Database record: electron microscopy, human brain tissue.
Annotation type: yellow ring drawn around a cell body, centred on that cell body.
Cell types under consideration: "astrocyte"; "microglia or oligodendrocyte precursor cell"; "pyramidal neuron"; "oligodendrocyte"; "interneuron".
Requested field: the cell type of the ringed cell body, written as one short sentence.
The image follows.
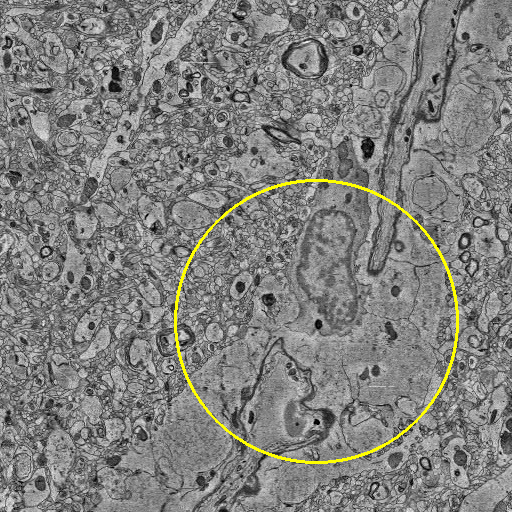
The ringed cell body represents an oligodendrocyte.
